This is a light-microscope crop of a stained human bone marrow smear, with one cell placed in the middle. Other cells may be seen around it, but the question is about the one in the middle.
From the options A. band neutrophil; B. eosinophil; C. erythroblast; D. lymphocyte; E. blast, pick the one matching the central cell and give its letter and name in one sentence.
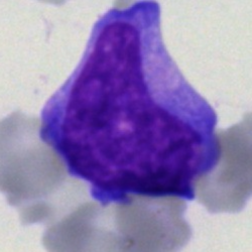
The middle of the crop contains a blast, so option E is right.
